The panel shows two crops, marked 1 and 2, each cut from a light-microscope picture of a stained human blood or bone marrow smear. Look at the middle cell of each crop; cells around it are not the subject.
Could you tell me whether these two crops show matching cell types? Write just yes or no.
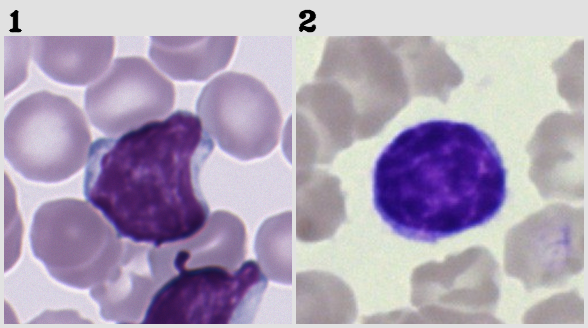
yes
